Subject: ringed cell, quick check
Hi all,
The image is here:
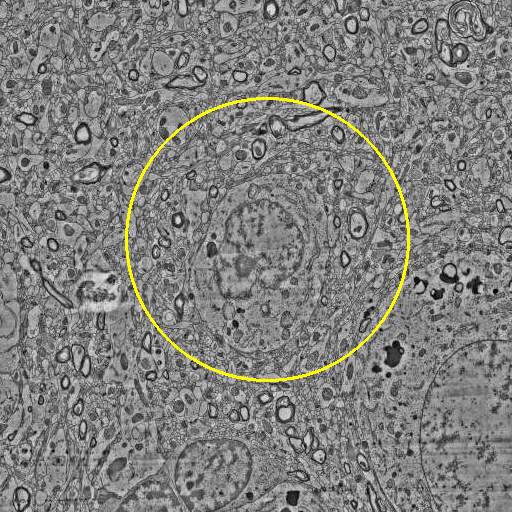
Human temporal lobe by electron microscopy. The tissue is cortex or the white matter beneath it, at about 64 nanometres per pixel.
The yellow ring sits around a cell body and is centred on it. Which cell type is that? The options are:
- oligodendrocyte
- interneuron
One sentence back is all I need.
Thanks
That ringed cell is an interneuron.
